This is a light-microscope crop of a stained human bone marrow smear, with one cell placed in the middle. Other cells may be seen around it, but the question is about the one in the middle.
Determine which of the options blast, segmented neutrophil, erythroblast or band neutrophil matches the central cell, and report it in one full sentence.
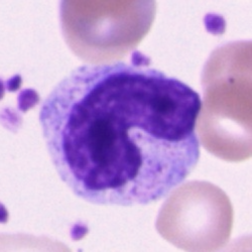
The cell at the middle of the frame should be recorded as a band neutrophil.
